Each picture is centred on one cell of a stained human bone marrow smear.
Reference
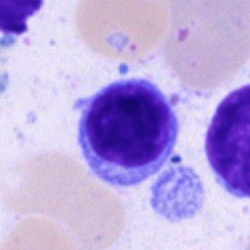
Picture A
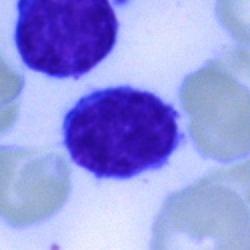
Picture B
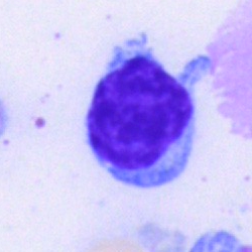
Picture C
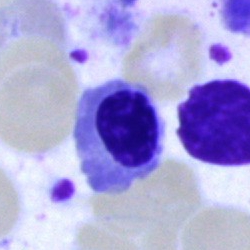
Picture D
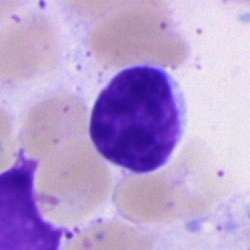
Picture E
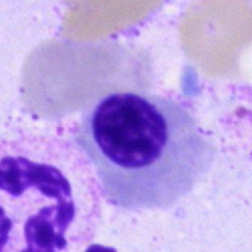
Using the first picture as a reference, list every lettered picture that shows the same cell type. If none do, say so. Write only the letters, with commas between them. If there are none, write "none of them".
A, B, D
